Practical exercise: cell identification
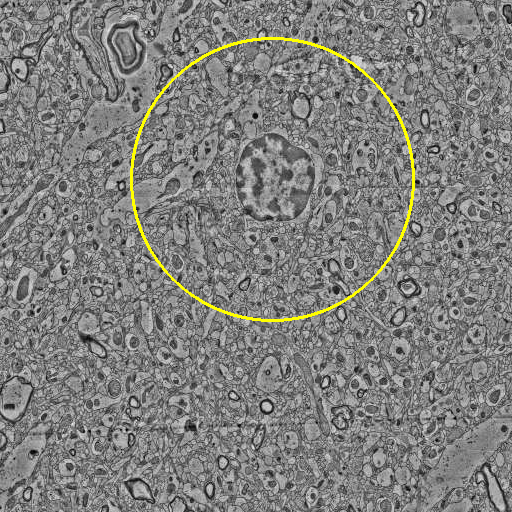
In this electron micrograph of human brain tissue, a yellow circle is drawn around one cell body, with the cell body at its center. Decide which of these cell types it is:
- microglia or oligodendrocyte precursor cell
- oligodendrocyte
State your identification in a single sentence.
The ringed cell is a microglial cell or oligodendrocyte precursor cell.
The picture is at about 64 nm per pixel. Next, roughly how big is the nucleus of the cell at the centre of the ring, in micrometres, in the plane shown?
In this plane the ringed cell's nucleus is roughly 5 micrometres across.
